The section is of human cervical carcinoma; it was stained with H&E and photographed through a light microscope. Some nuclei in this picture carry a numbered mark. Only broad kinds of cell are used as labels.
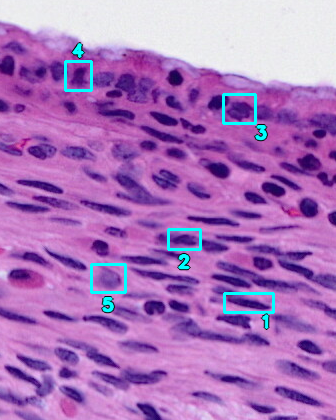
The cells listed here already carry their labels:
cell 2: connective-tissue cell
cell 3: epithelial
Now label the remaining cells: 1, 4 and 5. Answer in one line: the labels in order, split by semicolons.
connective-tissue cell; epithelial; connective-tissue cell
